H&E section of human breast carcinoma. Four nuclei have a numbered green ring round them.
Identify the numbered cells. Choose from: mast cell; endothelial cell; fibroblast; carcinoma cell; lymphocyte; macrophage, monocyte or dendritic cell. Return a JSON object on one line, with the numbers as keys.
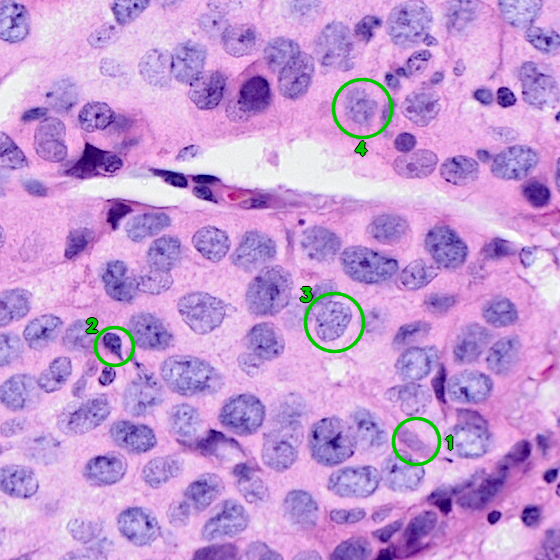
{"1": "carcinoma cell", "2": "lymphocyte", "3": "carcinoma cell", "4": "carcinoma cell"}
